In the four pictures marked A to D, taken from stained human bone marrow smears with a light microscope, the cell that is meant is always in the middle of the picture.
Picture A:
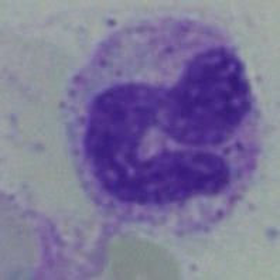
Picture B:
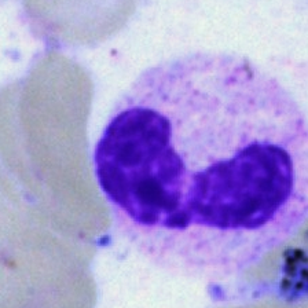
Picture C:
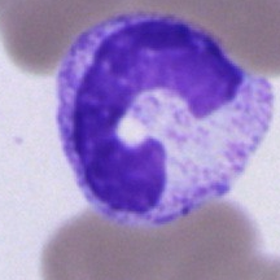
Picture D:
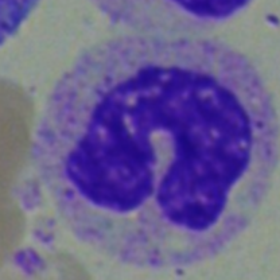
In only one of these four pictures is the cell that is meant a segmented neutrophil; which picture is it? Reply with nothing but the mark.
B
